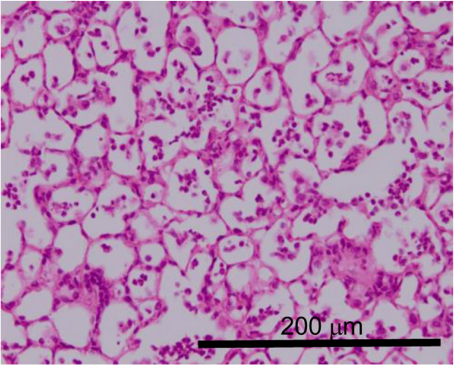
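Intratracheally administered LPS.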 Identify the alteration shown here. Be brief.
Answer: The alveoli were filled with inflammatory cells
